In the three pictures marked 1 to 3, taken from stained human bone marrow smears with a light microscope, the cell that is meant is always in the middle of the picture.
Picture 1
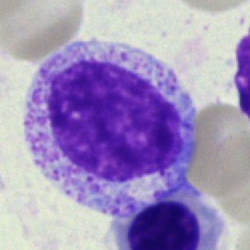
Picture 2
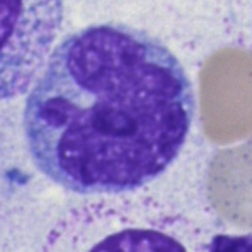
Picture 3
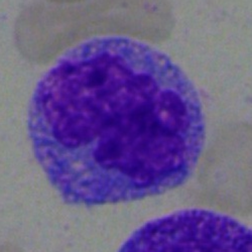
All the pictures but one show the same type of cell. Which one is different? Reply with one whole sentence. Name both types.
All pictures except 1 show monocytes; picture 1 shows a myelocyte.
